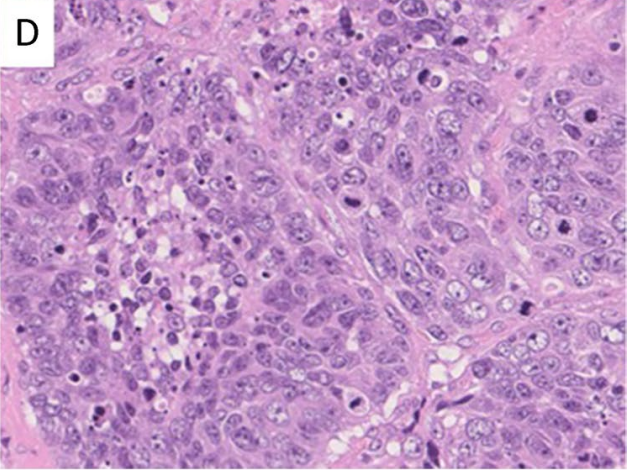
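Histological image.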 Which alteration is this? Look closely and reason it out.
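Nuclei vary markedly in size and shape. Some nuclei are large and vesicular, others small and dark. So: pleomorphic cells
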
